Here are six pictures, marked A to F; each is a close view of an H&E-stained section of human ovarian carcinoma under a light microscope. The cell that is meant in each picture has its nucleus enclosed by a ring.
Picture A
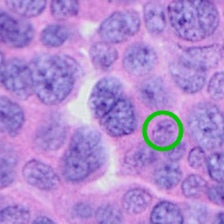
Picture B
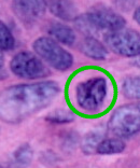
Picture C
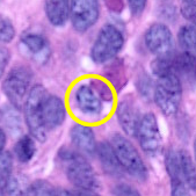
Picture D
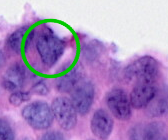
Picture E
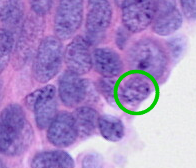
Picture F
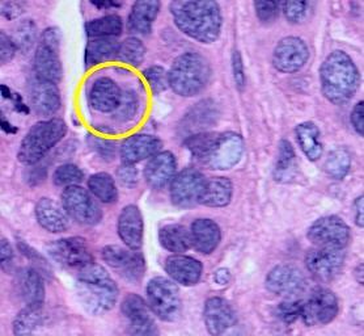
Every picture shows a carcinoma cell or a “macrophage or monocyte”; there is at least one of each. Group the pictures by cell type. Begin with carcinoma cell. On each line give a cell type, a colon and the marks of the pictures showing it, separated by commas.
carcinoma cell: A, D, E, F
macrophage or monocyte: B, C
